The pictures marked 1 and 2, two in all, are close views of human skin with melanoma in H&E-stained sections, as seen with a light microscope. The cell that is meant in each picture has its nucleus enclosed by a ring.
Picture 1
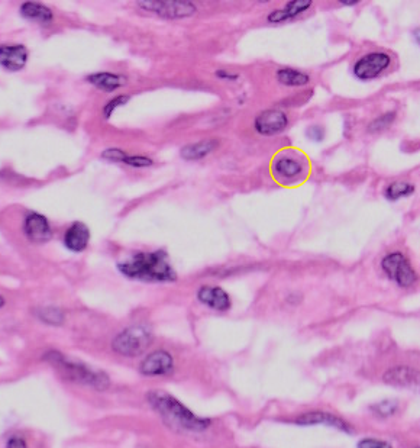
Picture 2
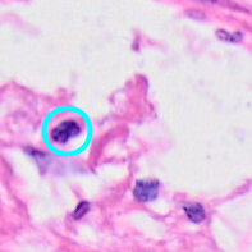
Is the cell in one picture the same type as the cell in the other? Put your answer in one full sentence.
No; the cell in picture 1 is a “macrophage or monocyte”, while the one in picture 2 is a lymphocyte.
